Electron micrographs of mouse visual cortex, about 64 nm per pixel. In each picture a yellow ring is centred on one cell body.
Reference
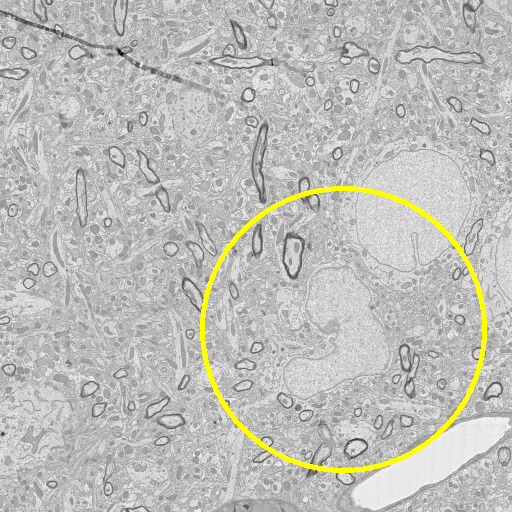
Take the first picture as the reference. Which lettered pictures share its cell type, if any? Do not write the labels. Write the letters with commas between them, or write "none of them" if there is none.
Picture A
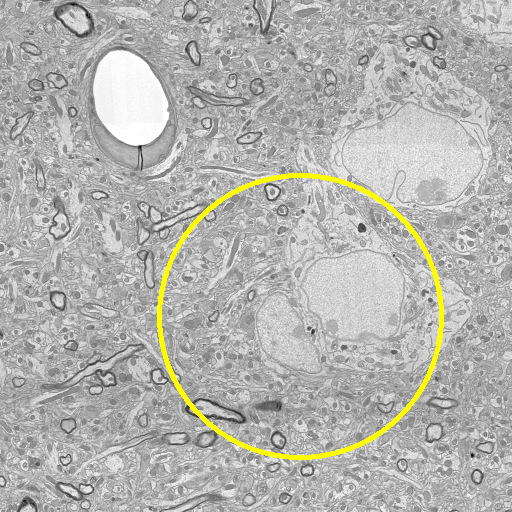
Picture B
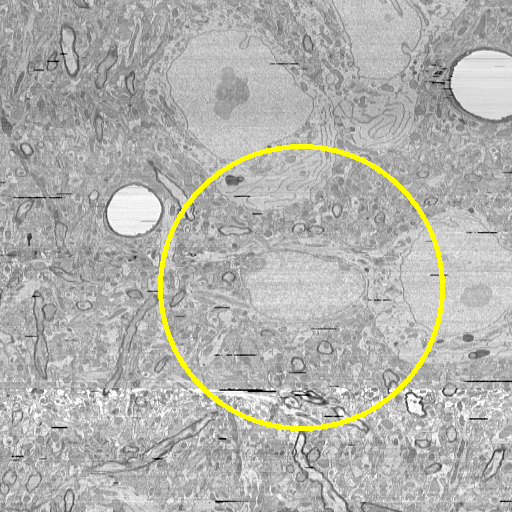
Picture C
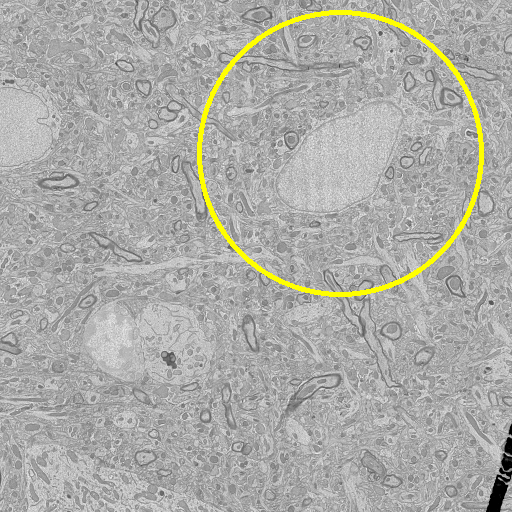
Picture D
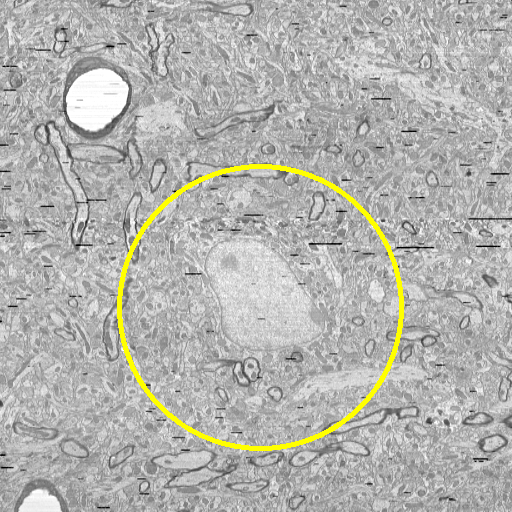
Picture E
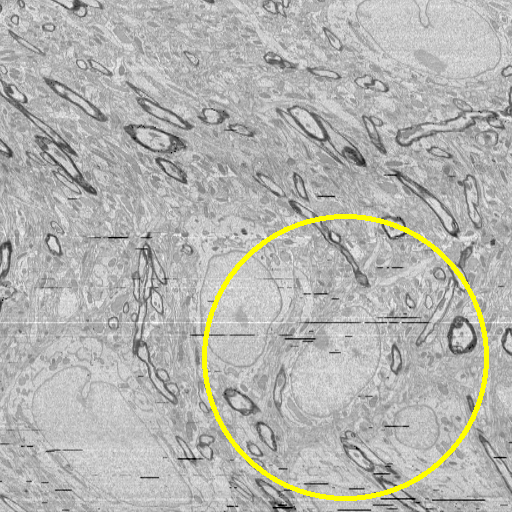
A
